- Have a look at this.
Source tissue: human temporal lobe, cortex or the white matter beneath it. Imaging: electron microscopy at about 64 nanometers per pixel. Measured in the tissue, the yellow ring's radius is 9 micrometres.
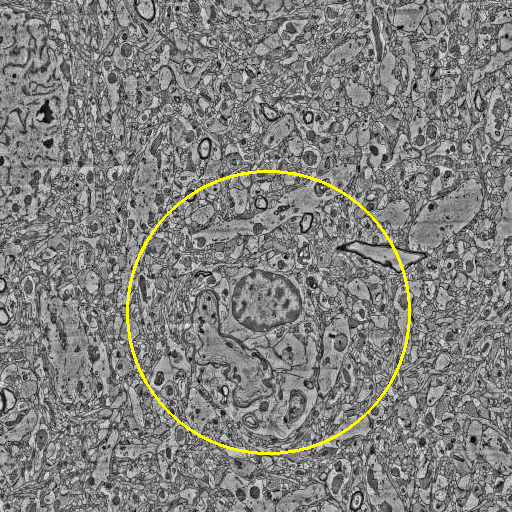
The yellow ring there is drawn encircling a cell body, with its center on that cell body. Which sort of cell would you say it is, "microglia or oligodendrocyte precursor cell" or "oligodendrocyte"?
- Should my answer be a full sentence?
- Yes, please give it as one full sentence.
For this picture, a microglial cell or oligodendrocyte precursor cell is the cell where the yellow ring has its center.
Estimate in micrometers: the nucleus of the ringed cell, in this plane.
About 4 micrometres across, as seen in this plane.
